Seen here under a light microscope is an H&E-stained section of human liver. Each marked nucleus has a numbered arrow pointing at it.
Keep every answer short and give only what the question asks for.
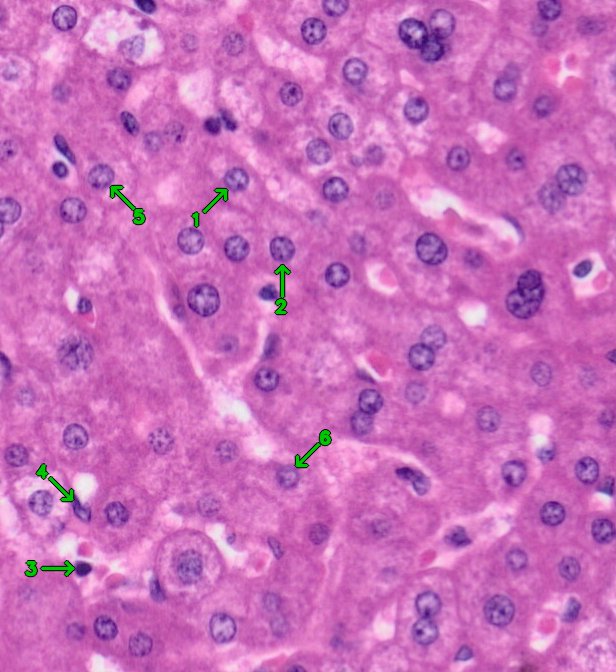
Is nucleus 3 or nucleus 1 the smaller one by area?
3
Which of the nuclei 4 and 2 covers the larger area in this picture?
2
